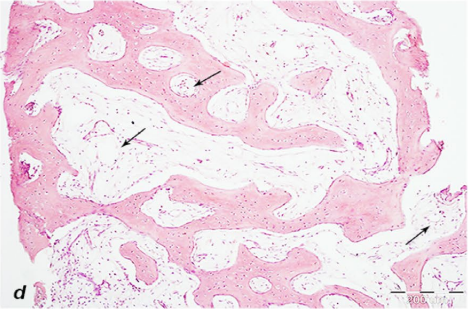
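This is cancellous bone showing pink-staining bone trabeculae that branch and surround pale bone marrow spaces. The trabeculae contain many small scattered lacunae with dark nuclei. The marrow spaces are filled with loose, lightly stained connective tissue containing scattered cells and small vessels.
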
